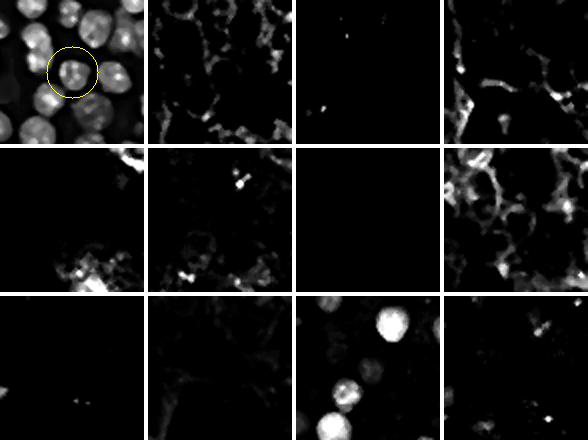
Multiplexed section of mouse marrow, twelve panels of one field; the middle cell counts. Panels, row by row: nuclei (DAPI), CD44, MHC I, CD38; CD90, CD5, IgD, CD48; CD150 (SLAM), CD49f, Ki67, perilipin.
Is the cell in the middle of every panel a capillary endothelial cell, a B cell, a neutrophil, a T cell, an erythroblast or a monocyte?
It is a capillary endothelial cell.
